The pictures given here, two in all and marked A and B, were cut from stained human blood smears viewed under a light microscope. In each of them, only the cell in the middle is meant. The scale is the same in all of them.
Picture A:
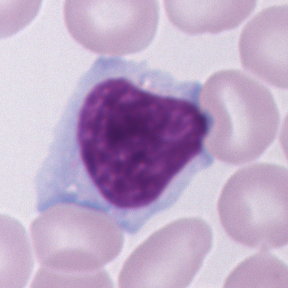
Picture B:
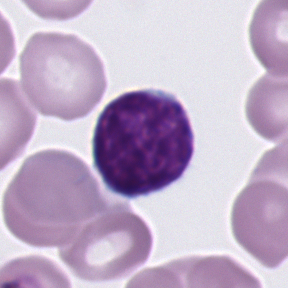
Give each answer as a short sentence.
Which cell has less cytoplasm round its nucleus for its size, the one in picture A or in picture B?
It is the cell in picture B that is filled more by its nucleus.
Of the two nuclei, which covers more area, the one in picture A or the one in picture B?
Picture A shows the larger nucleus; it covers about 1.5 times the area of the nucleus in picture B.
